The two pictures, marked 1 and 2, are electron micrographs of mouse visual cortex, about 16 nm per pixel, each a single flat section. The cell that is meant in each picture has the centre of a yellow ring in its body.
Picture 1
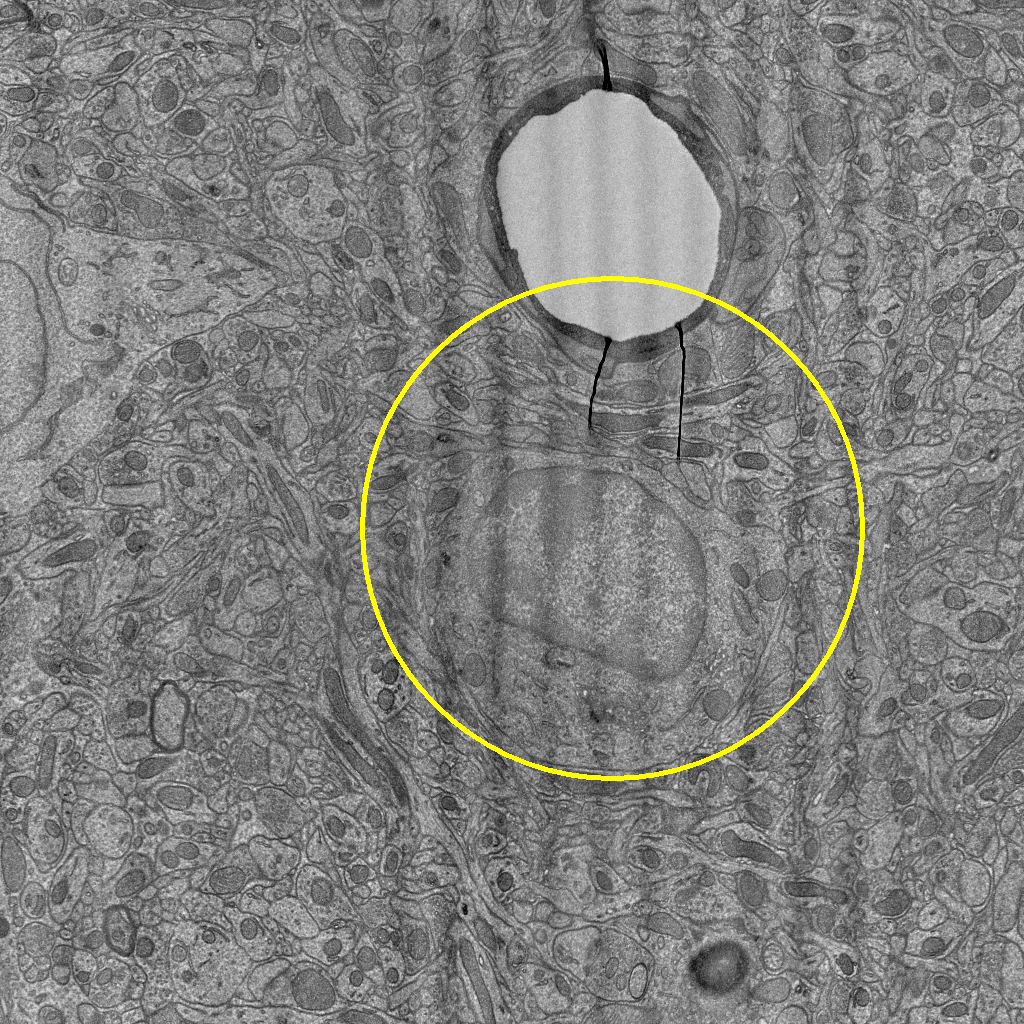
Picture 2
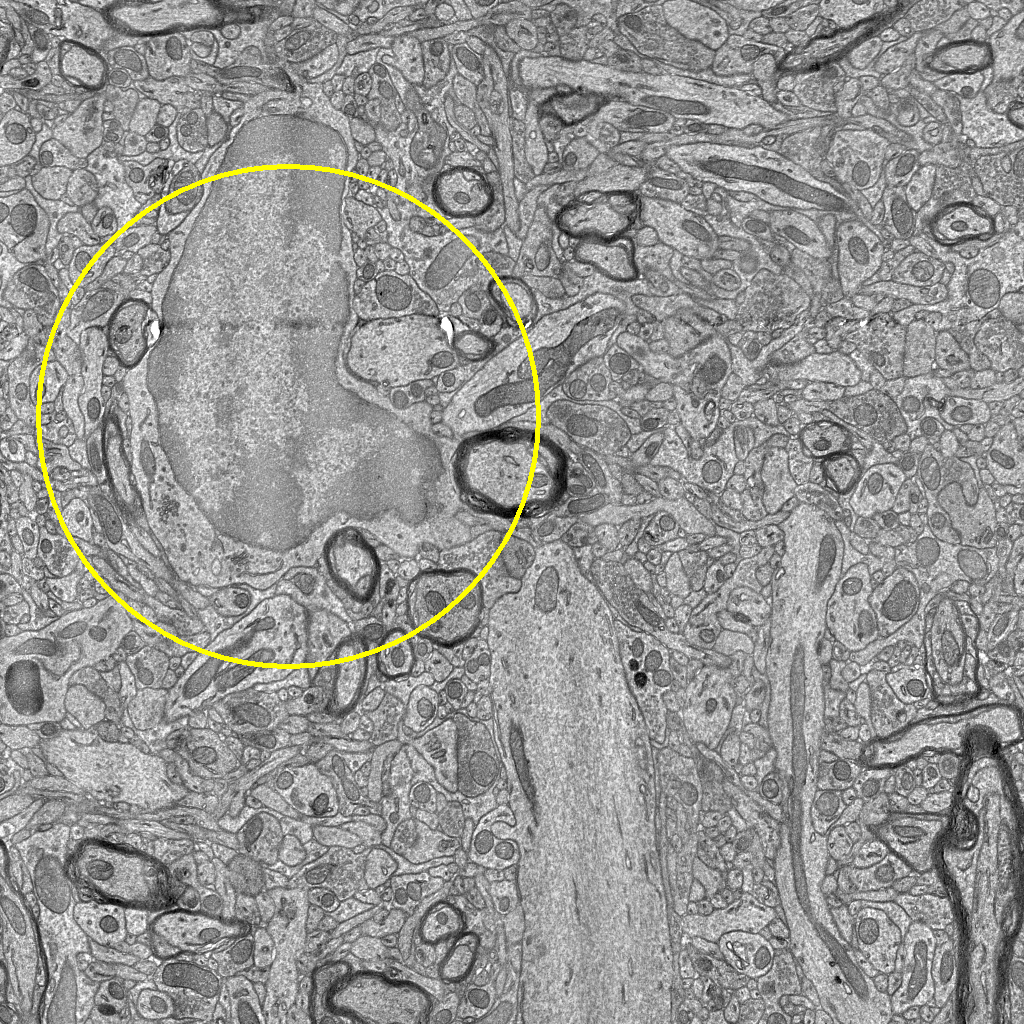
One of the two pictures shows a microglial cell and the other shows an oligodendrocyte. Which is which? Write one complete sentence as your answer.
Picture 2 shows a microglial cell, while picture 1 shows an oligodendrocyte.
